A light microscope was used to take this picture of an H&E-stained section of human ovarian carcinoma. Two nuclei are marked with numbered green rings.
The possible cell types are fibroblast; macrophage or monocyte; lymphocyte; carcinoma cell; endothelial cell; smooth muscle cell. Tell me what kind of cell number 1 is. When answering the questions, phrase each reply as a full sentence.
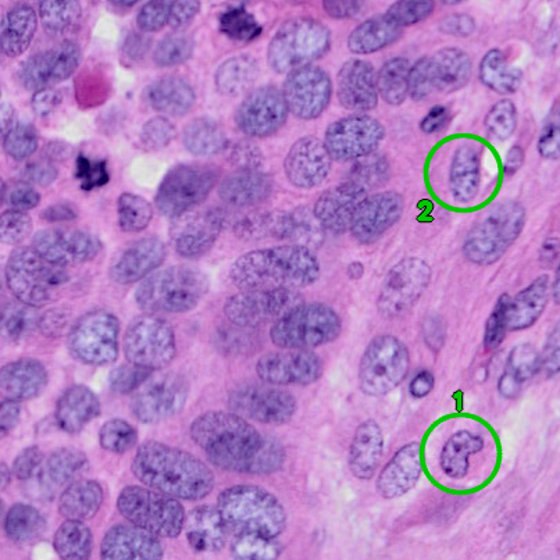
The mark numbered 1 indicates the nucleus of a macrophage or monocyte.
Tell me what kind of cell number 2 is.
The cell given label 2 is a fibroblast.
